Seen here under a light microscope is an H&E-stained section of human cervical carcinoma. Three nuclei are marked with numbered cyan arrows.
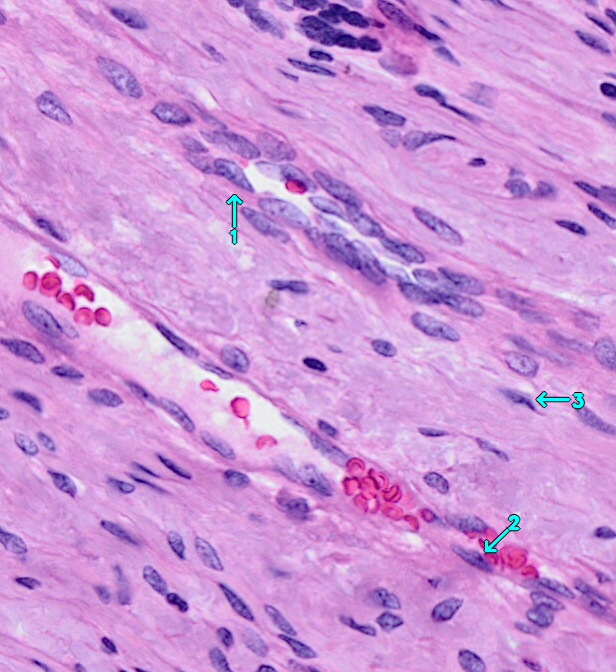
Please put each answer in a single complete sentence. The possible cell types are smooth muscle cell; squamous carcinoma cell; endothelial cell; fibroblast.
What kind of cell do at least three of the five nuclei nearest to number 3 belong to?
The majority of the five nuclei closest to number 3 belong to endothelial cells.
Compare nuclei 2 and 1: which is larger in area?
At about 2 times the area of nucleus 2, nucleus 1 is the larger of the two.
